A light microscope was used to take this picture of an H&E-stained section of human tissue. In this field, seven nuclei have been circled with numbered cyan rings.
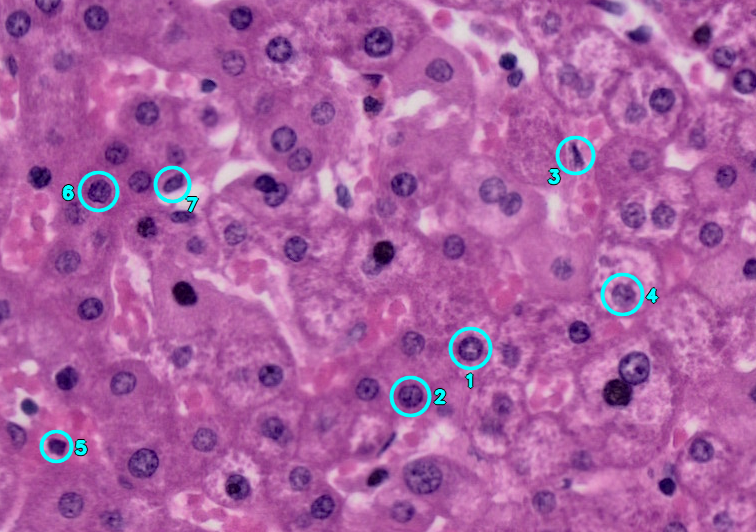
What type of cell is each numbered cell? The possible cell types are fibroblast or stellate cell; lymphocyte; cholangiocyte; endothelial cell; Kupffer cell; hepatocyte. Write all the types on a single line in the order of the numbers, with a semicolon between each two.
hepatocyte; hepatocyte; endothelial cell; hepatocyte; lymphocyte; hepatocyte; Kupffer cell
